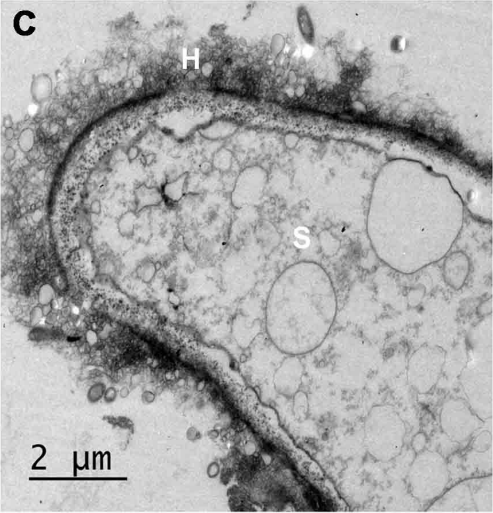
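A thick, curved, dark cell wall runs across the image and separates two zones. Inside the curve, the cytoplasm is pale and loosely granular, containing many rounded membrane-bound vesicles of varied size, some large. Outside the wall lies a dense, dark, fibrillar and granular coat, studded with small round vesicles and bits of debris, thickest along the outer surface of the wall.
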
